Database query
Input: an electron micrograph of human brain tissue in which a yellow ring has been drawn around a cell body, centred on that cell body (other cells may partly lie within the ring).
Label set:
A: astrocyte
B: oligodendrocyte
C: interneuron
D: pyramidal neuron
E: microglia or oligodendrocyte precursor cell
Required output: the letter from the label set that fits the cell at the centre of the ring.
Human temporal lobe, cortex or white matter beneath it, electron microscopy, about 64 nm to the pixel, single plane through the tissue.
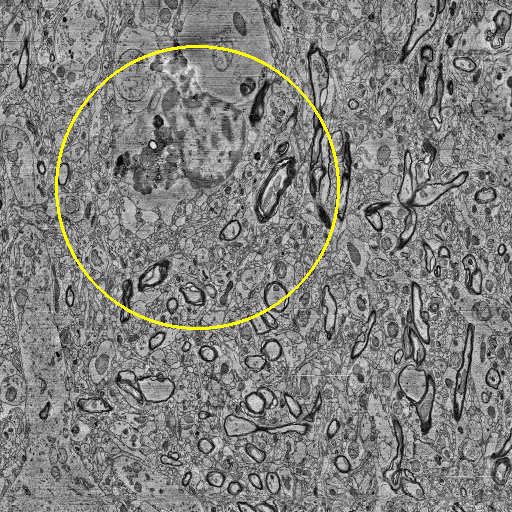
B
